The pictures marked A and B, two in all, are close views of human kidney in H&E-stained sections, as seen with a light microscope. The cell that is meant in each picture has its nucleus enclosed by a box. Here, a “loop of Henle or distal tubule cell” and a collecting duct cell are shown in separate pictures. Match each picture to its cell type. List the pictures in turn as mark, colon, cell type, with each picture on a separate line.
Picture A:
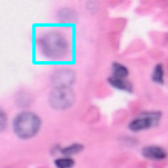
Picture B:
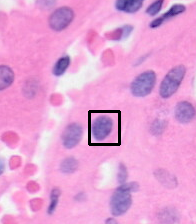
A: collecting duct cell
B: loop of Henle or distal tubule cell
